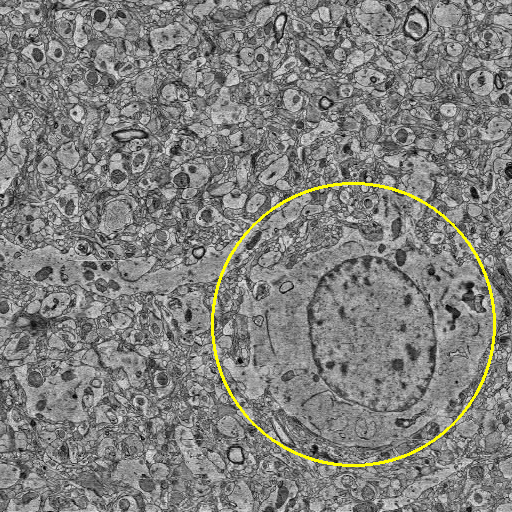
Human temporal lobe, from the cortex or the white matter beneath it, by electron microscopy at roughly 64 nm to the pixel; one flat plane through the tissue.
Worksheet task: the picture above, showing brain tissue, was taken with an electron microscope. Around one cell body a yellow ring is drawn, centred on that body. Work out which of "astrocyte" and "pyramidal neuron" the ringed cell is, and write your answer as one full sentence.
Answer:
It is an astrocyte whose cell body lies at the centre of the yellow ring.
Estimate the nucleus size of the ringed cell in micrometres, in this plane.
The nucleus of the ringed cell is approximately 10 by 8 micrometres in this plane.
